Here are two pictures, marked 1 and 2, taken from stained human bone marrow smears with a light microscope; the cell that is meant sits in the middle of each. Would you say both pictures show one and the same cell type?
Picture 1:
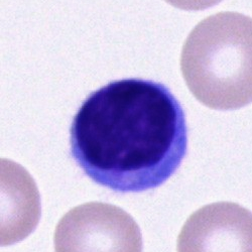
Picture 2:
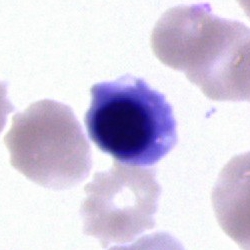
no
